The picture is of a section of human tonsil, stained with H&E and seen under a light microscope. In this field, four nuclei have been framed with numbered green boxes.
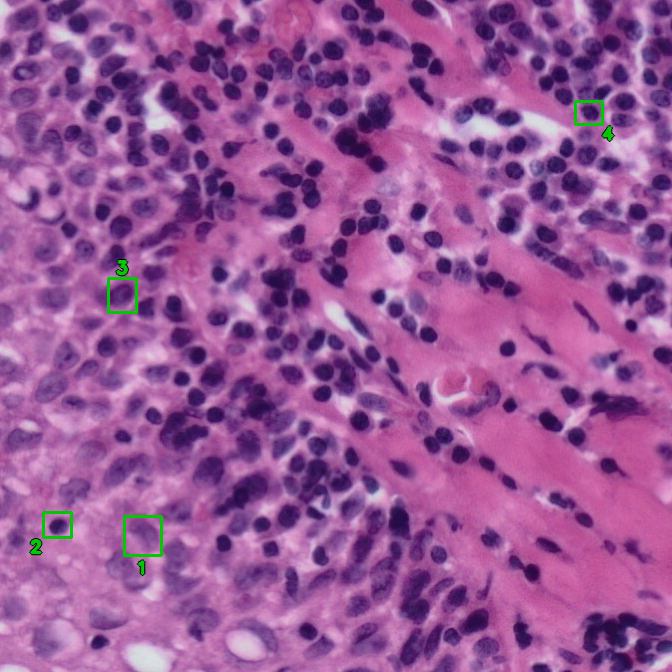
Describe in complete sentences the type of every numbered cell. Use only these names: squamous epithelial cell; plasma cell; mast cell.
Cell 1 is a squamous epithelial cell, cell 2 is a squamous epithelial cell, cell 3 is a squamous epithelial cell and cell 4 is a plasma cell.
